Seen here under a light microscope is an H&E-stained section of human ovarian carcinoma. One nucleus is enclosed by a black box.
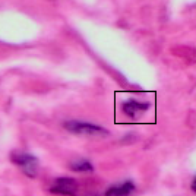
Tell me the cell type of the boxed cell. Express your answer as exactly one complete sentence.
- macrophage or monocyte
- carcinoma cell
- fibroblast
The cell type of the boxed cell is that of a fibroblast.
